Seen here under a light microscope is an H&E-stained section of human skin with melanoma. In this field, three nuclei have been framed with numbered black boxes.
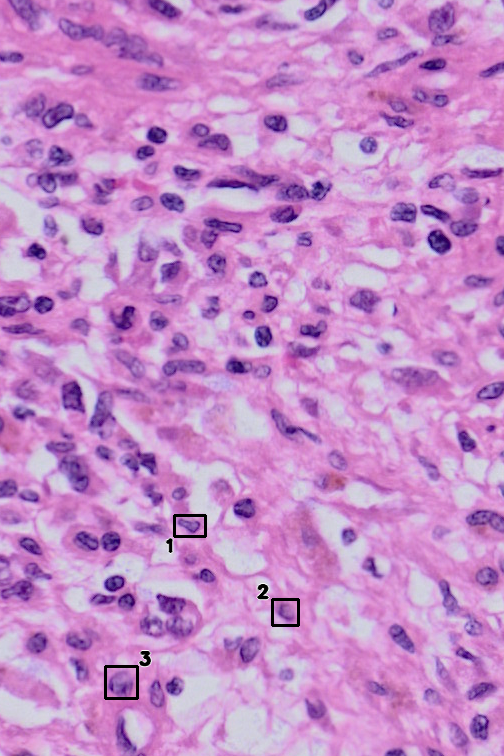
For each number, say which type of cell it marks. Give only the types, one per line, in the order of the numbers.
macrophage or monocyte
macrophage or monocyte
endothelial cell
